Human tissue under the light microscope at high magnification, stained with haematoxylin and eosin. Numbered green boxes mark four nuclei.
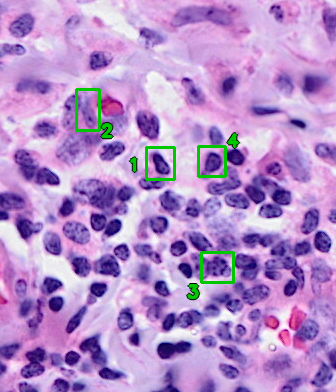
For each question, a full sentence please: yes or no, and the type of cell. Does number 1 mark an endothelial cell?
No, the cell at number 1 is a lymphocyte instead of an endothelial cell.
